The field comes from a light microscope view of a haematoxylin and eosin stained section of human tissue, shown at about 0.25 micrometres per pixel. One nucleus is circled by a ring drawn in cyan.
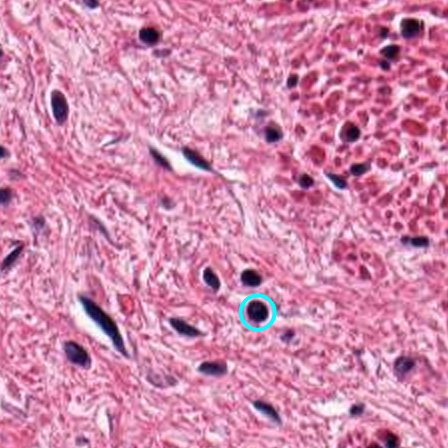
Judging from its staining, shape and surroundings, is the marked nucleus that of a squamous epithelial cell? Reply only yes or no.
no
